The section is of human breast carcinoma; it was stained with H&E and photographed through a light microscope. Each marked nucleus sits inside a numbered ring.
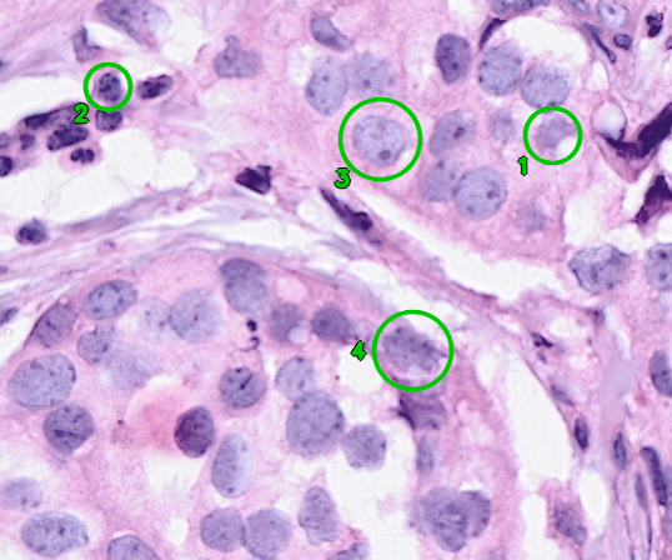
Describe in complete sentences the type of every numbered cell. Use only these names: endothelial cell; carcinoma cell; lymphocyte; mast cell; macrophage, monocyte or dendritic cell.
Cell 1 is a carcinoma cell, cell 2 is a lymphocyte, cell 3 is a carcinoma cell and cell 4 is a carcinoma cell.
